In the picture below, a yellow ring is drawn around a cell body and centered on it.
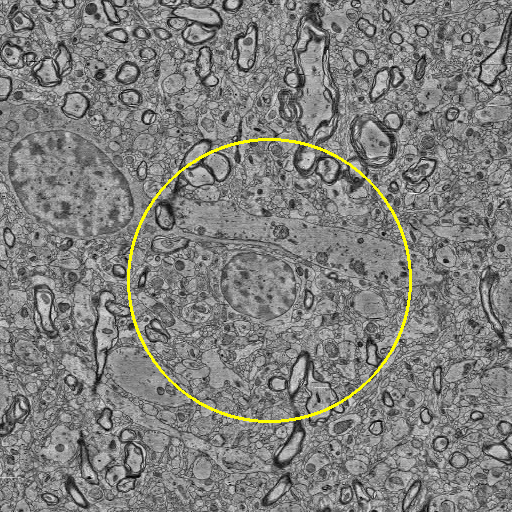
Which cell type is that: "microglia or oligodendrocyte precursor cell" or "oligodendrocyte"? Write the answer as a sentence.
The cell centered in the ring is a microglial cell or oligodendrocyte precursor cell.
